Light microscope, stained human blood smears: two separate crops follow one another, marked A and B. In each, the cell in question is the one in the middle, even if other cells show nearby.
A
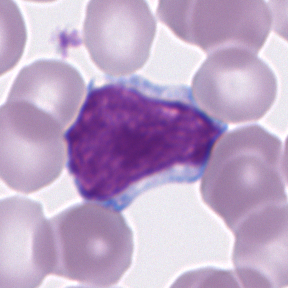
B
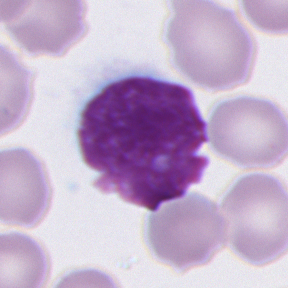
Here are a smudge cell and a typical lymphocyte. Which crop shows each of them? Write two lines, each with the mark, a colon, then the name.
A: typical lymphocyte
B: smudge cell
